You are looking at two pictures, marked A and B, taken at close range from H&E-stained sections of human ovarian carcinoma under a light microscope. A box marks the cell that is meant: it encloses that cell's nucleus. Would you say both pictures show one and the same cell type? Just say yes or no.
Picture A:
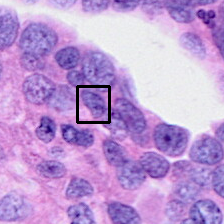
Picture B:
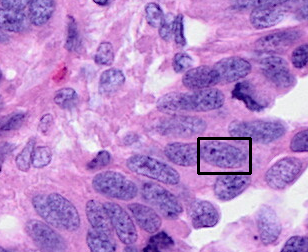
yes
